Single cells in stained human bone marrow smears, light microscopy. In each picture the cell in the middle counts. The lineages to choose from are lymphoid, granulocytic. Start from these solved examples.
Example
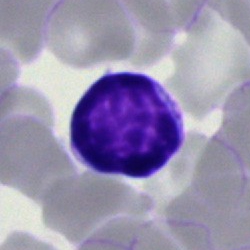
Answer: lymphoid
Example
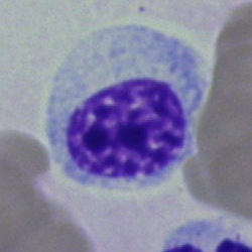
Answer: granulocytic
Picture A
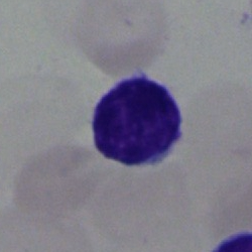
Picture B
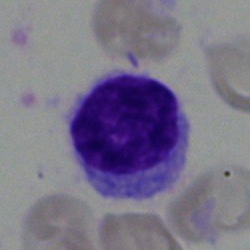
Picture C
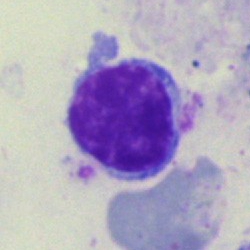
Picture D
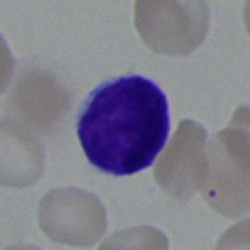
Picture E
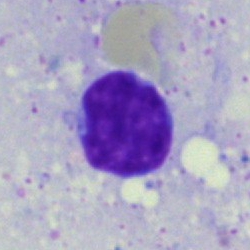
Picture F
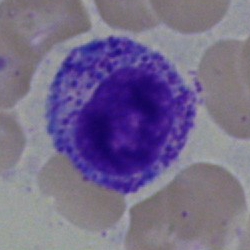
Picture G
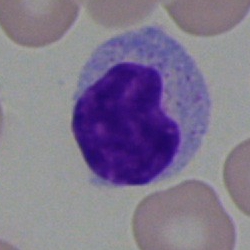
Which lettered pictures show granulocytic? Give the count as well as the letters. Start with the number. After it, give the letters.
1, namely F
